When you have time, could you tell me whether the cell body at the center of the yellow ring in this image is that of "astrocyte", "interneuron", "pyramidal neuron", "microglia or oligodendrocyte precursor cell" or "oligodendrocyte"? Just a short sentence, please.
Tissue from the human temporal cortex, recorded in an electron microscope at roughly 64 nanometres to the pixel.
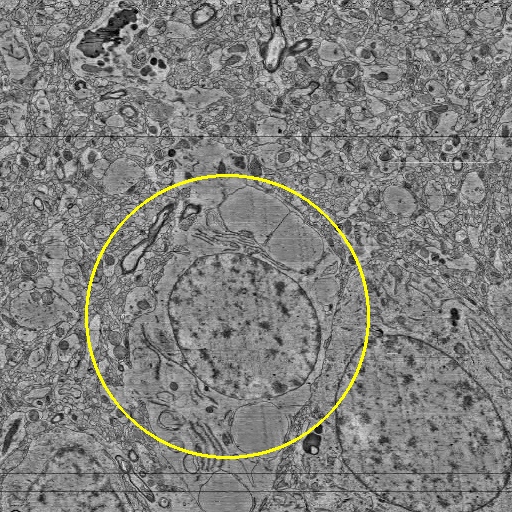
The cell body at the center of the ring is that of an astrocyte.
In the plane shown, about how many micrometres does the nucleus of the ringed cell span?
The ringed cell's nucleus is about 10 micrometres across in this plane.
